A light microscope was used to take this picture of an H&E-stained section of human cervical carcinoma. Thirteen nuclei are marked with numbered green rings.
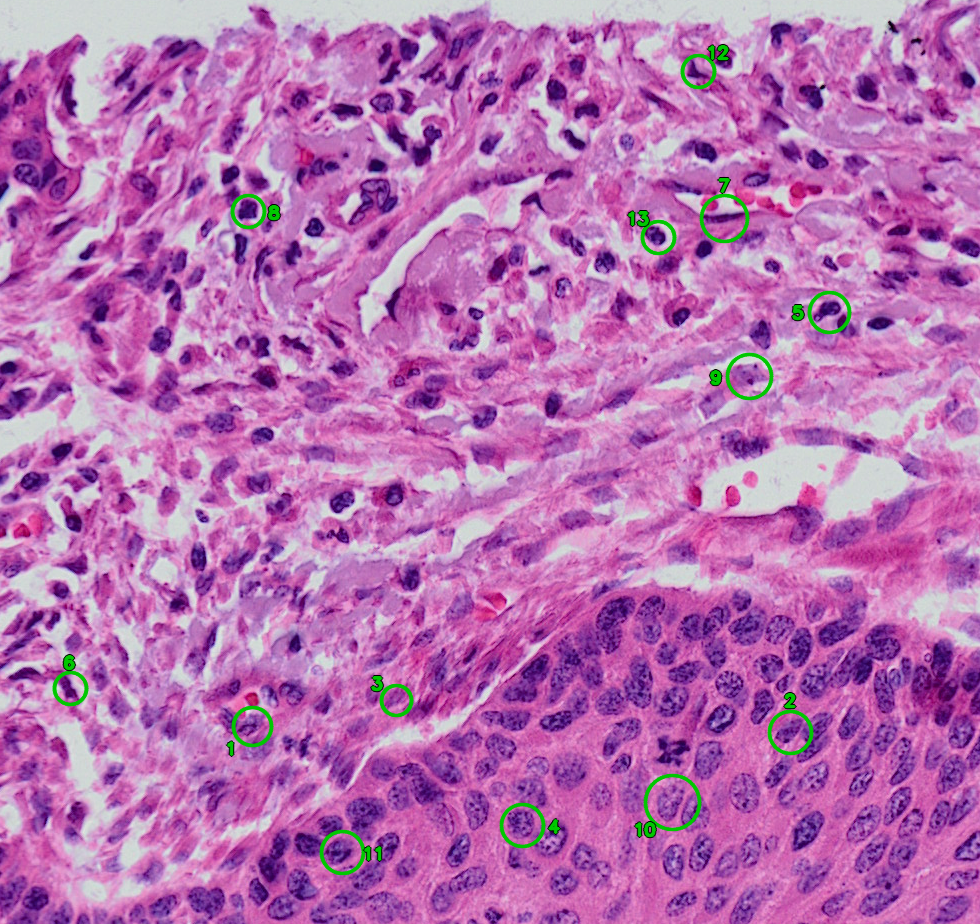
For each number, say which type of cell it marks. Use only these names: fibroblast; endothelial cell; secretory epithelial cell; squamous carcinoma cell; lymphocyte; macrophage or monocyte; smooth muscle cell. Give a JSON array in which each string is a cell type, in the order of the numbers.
["endothelial cell", "squamous carcinoma cell", "fibroblast", "squamous carcinoma cell", "lymphocyte", "fibroblast", "endothelial cell", "lymphocyte", "fibroblast", "squamous carcinoma cell", "squamous carcinoma cell", "fibroblast", "lymphocyte"]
